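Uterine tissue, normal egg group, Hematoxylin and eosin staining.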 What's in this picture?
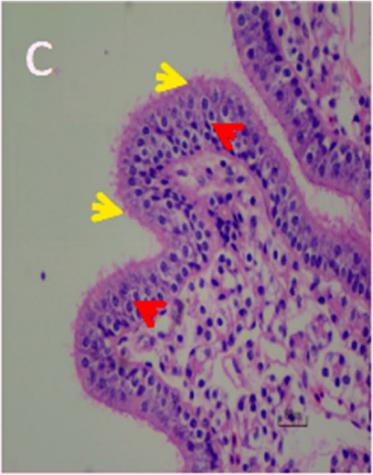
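This section shows the folded lining of the uterus, covered by a layer of epithelial cells over a loose underlying tissue. The epithelial cells are closely packed and columnar, with oval purple nuclei crowded at several levels so the layer looks stratified. Their free surface carries a fine pink fringe of cilia that projects into the lumen. The folds give the surface a wavy outline.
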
